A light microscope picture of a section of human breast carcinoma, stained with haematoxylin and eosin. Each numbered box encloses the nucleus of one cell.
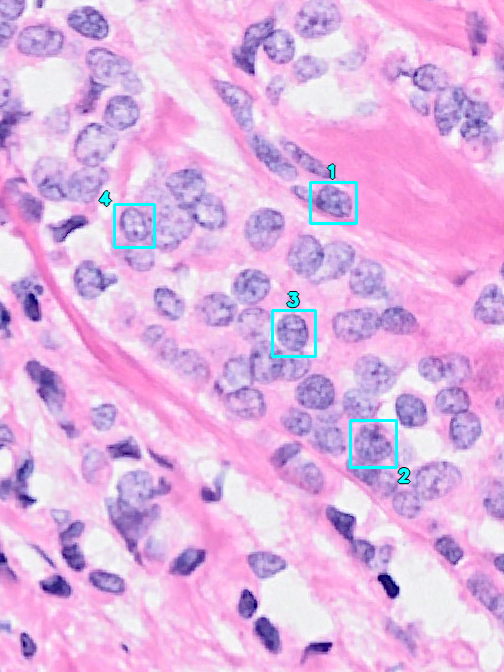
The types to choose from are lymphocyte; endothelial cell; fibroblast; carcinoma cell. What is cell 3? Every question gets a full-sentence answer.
The one numbered 3 among the marked cells is a carcinoma cell.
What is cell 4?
In the marked set, the cell given number 4 is a carcinoma cell.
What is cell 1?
The numbered cell 1 in this field is an endothelial cell.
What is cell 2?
The cell identified by the number 2 is a carcinoma cell.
